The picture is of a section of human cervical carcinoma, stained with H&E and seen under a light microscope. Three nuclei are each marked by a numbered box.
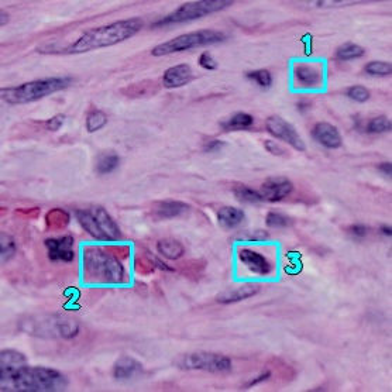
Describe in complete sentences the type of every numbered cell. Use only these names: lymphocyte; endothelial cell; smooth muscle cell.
Cell 1 is a smooth muscle cell. Cell 2 is an endothelial cell. Cell 3 is a lymphocyte.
